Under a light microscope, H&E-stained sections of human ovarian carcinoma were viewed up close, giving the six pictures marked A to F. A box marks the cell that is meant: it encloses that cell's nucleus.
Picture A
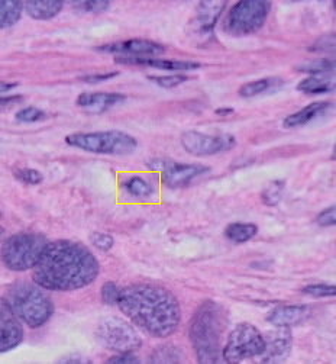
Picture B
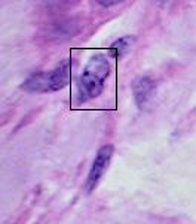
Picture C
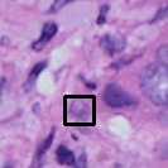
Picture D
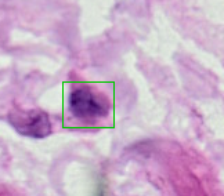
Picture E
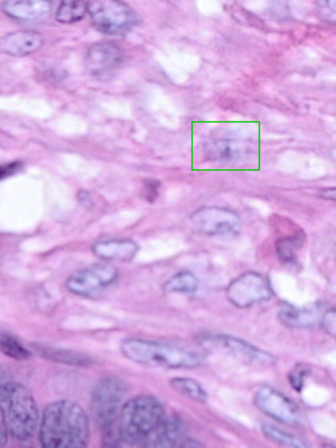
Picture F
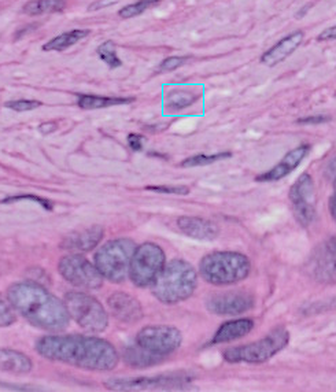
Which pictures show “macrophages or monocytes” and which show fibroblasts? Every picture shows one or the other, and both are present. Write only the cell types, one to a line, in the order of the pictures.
fibroblast
macrophage or monocyte
fibroblast
macrophage or monocyte
fibroblast
fibroblast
